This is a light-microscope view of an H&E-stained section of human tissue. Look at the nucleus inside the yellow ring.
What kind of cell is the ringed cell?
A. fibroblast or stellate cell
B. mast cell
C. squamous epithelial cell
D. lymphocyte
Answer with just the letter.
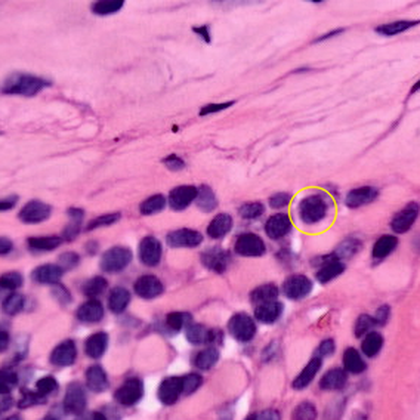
D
